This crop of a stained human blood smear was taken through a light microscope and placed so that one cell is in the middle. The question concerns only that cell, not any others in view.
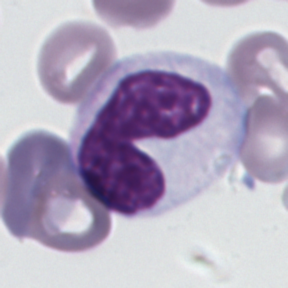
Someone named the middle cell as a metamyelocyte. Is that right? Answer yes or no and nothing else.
no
